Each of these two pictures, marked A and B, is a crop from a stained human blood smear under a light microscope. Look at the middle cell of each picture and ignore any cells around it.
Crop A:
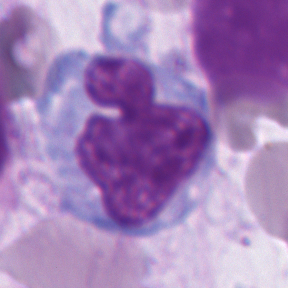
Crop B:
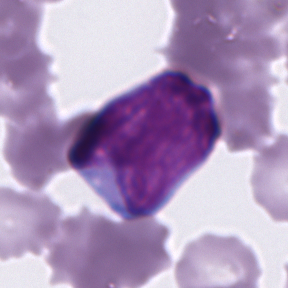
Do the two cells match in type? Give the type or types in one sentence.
No, crop A and crop B show a monocyte and a myeloblast respectively.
